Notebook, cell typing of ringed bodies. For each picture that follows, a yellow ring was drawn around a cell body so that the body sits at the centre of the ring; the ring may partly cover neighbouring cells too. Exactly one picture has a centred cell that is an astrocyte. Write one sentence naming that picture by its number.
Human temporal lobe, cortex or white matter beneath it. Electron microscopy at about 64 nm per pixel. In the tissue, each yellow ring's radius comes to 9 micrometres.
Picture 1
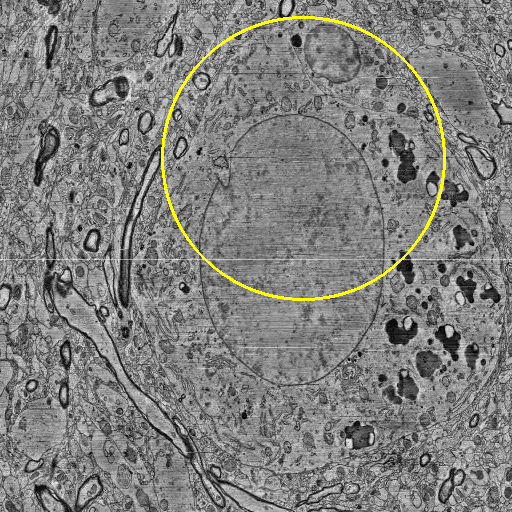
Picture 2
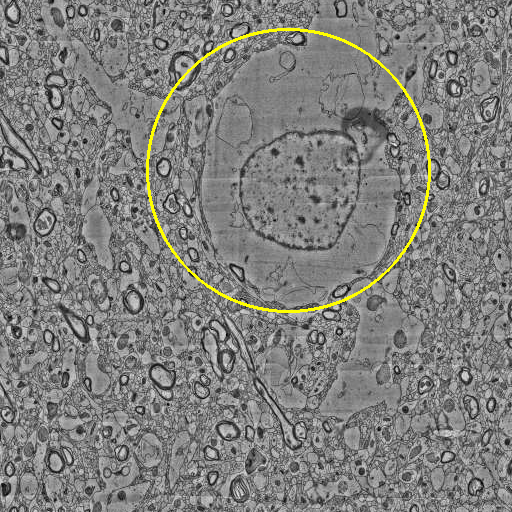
Picture 2 is the one with it at the centre of its ring.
